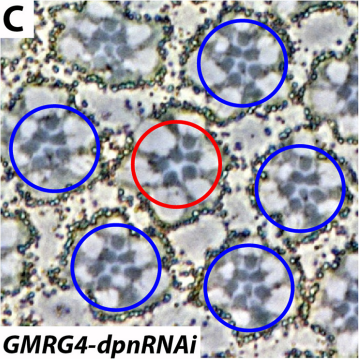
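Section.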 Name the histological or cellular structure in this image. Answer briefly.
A: ommatidia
